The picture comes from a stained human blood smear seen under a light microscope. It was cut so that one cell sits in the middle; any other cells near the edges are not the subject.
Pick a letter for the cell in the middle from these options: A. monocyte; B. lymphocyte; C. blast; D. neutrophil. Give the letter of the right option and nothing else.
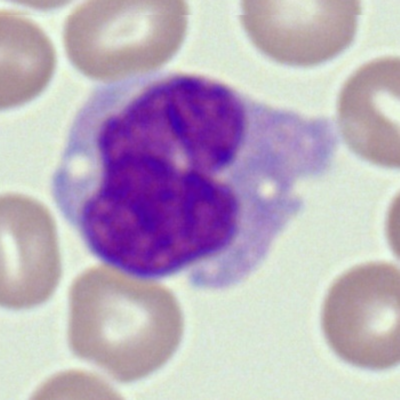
A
